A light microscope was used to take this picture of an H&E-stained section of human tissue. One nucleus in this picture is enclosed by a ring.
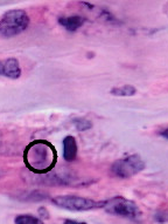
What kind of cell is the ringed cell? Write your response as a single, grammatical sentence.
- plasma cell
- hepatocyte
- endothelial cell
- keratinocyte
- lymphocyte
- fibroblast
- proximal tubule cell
For cell typing purposes, the ringed cell is an endothelial cell.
